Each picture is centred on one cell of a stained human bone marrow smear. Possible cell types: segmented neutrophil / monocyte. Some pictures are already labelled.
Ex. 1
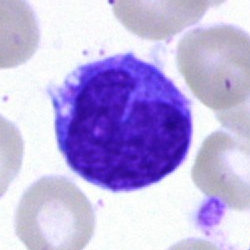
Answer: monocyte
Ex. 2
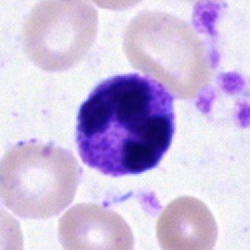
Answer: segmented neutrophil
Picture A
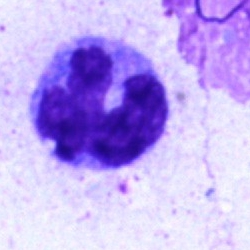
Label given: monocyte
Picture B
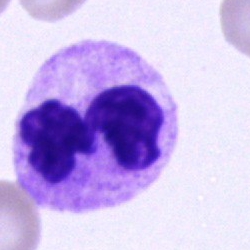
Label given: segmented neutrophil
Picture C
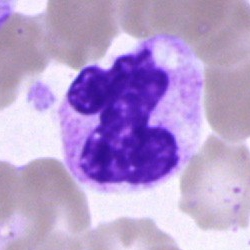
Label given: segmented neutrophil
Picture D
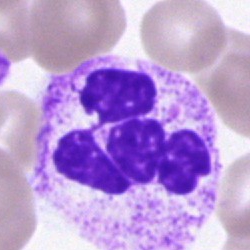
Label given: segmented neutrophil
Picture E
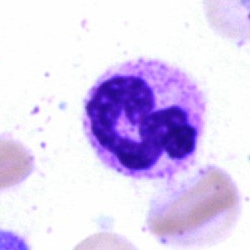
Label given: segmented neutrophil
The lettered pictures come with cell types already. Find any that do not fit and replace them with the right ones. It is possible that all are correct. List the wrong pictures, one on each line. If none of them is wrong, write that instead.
None of the labels needs changing.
